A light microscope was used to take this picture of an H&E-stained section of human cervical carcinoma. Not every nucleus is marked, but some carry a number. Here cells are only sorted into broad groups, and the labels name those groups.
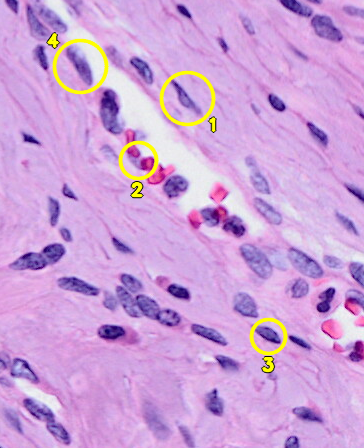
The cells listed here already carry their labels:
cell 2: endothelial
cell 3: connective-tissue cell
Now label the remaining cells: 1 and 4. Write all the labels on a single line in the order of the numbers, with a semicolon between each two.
connective-tissue cell; endothelial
